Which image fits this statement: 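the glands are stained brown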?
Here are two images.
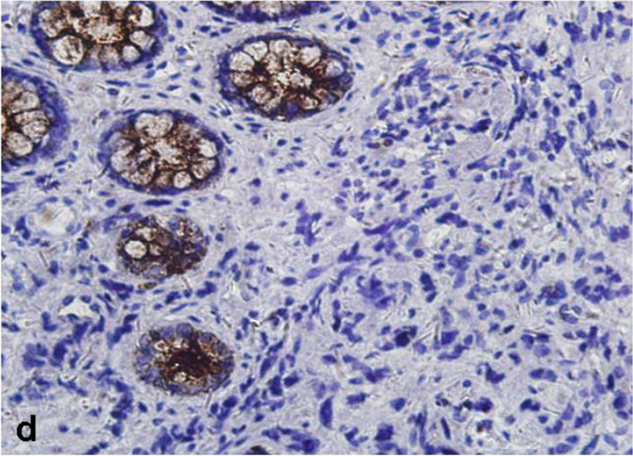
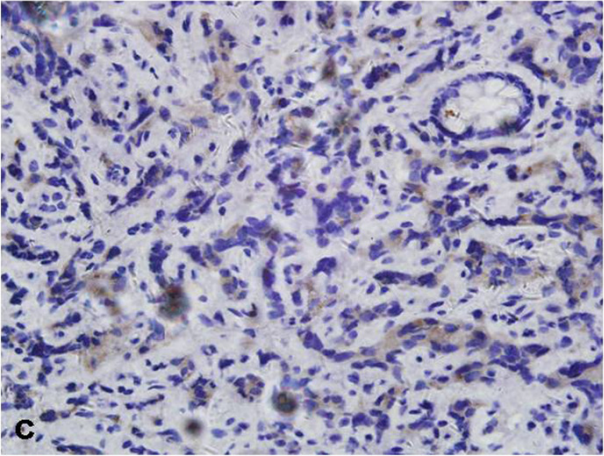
The first image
